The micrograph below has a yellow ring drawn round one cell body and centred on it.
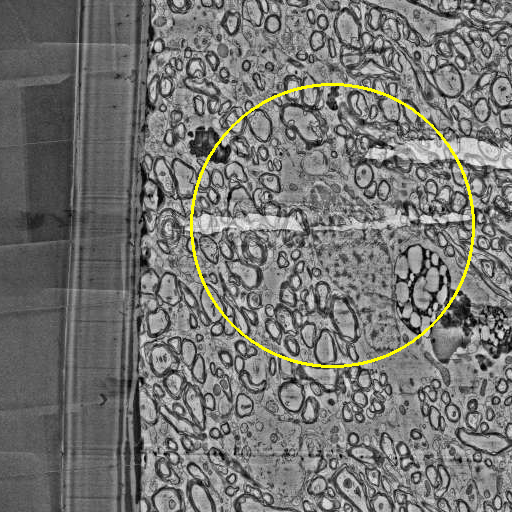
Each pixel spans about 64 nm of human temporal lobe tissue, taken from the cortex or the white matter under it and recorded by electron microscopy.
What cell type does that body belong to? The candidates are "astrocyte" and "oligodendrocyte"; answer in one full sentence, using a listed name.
This is an astrocyte, the cell whose body lies at the centre of the ring.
